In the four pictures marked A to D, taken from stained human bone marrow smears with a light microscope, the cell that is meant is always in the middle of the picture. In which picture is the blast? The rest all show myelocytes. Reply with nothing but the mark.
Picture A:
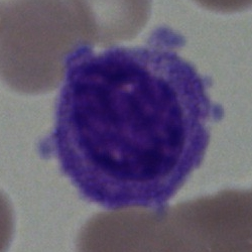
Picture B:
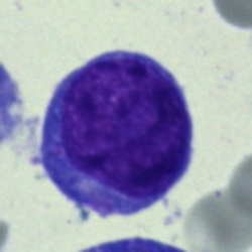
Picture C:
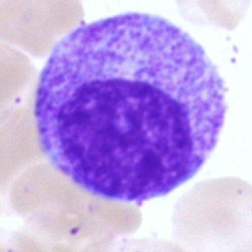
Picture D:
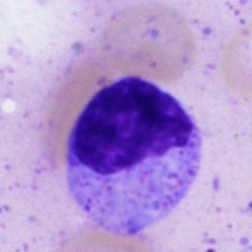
B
